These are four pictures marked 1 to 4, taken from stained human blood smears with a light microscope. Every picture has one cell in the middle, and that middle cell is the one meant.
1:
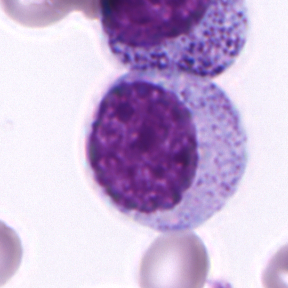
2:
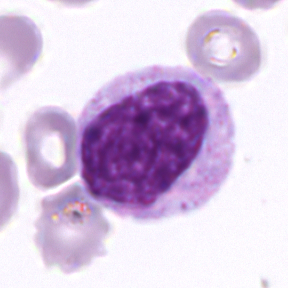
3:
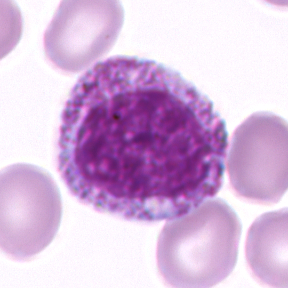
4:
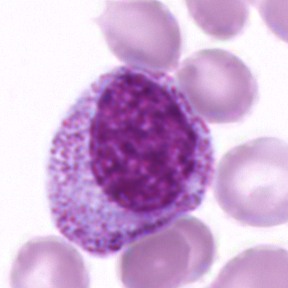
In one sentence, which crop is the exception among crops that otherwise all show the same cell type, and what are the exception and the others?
The different one is crop 2, which is a metamyelocyte; the rest all show myelocytes.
